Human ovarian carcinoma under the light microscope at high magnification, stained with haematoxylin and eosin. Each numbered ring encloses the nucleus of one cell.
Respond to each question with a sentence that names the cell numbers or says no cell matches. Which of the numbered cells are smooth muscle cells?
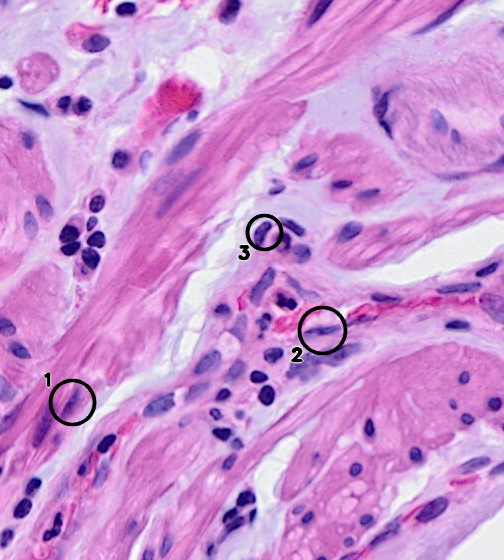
Nothing but cell 1 is a smooth muscle cell among the numbered ones.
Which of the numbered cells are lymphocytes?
The only cell among those numbered to be a lymphocyte is number 3.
